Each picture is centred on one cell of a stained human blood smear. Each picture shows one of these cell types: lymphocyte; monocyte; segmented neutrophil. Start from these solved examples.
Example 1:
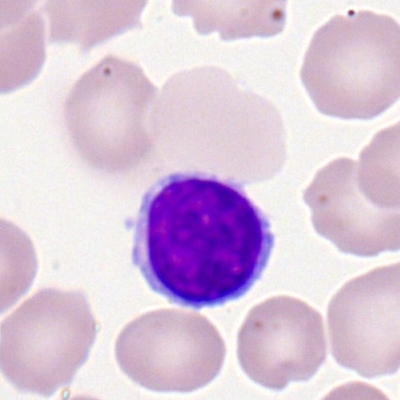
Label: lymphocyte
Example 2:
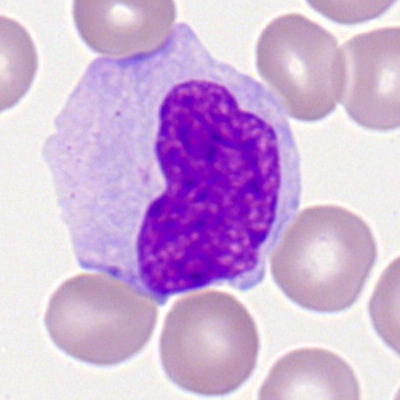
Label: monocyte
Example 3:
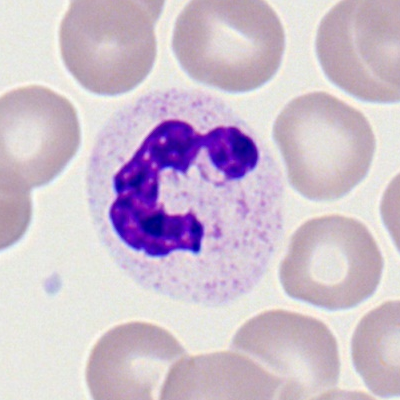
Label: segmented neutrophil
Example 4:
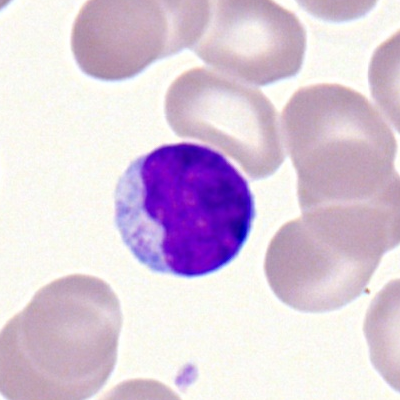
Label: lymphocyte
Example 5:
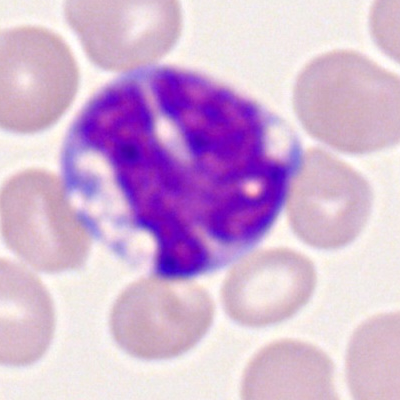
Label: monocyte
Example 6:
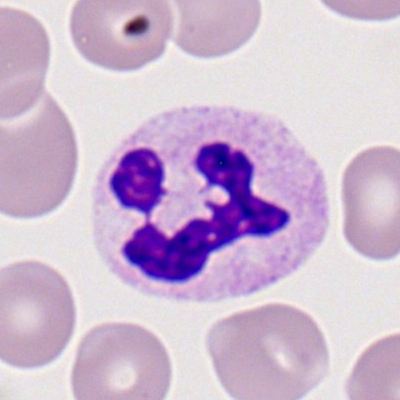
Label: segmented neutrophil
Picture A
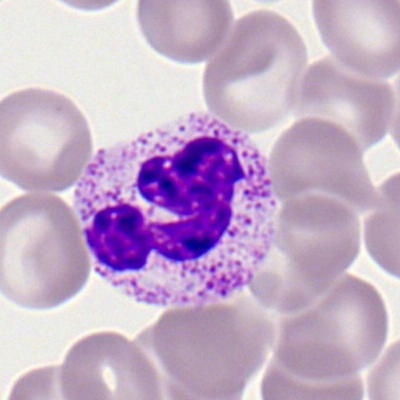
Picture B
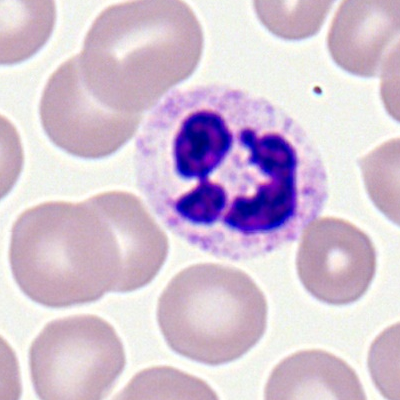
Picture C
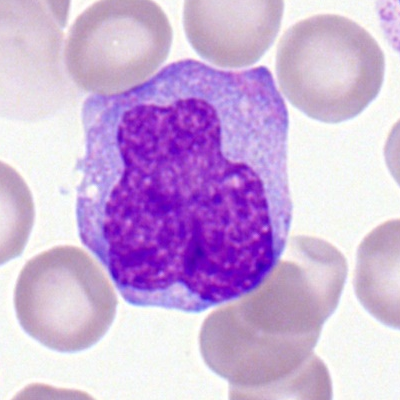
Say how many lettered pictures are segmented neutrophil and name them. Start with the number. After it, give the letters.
2: A, B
